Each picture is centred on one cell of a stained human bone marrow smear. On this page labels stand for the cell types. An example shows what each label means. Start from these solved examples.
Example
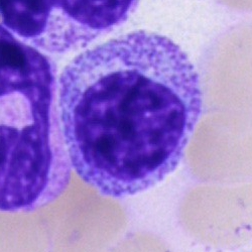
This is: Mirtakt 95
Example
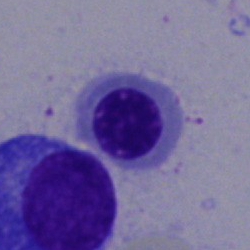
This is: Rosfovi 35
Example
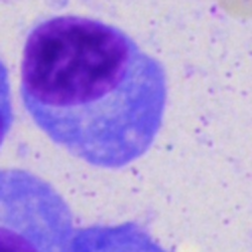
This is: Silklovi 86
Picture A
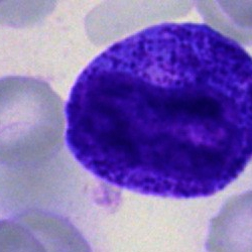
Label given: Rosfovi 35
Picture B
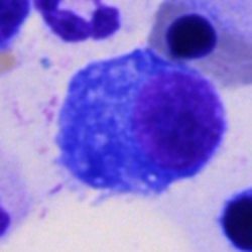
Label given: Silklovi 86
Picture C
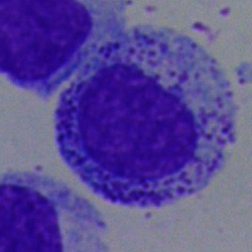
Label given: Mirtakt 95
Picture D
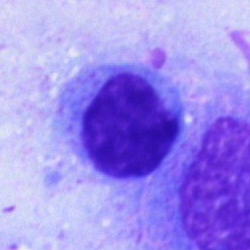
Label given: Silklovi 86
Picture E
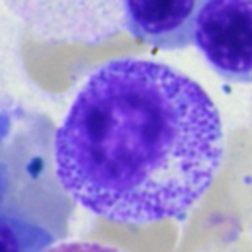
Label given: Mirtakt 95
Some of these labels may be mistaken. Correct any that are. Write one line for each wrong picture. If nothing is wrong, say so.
A: not Rosfovi 35 but Mirtakt 95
